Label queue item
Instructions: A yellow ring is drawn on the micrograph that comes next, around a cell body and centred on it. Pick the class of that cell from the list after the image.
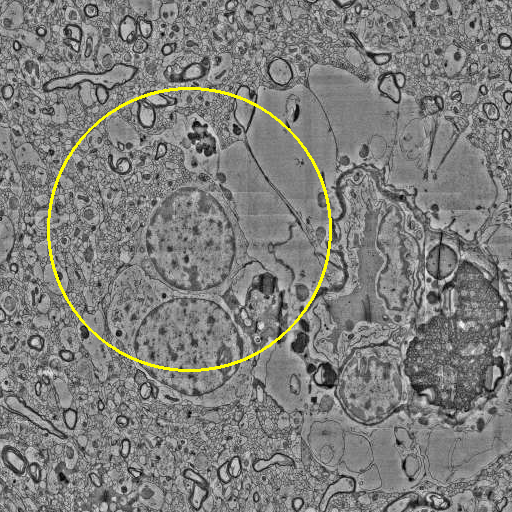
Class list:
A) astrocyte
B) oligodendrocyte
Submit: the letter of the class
B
